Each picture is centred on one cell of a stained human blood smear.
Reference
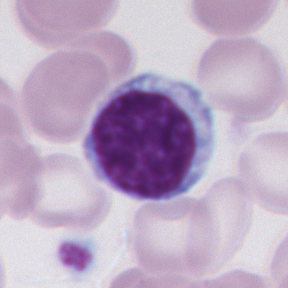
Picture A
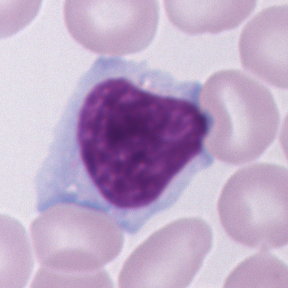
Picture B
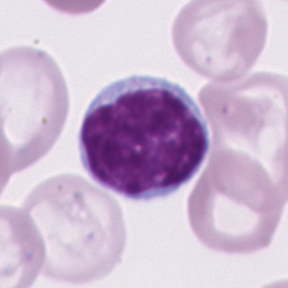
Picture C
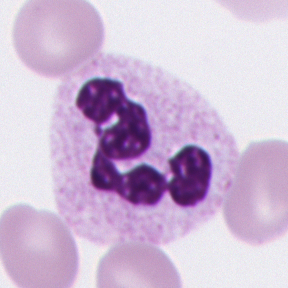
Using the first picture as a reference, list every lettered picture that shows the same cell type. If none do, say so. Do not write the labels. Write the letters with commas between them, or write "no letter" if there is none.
A, B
